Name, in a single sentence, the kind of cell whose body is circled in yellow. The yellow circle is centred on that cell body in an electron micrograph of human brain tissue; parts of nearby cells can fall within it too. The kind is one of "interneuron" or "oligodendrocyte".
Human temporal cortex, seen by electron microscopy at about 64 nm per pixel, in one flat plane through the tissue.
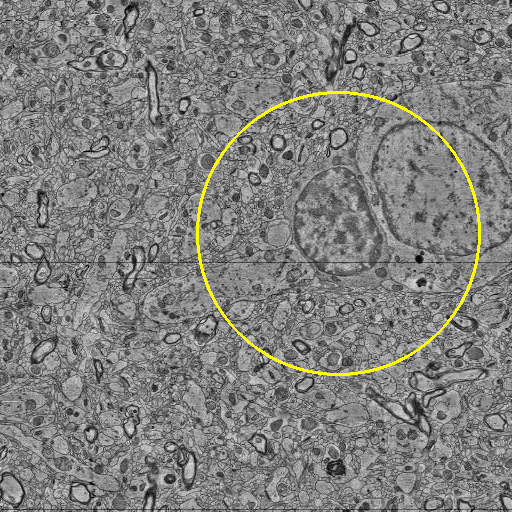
The circled cell body belongs to an oligodendrocyte.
